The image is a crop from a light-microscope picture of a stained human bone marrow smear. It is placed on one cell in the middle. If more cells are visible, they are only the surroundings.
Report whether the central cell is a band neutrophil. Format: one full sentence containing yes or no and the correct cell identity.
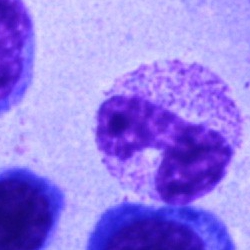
Yes, the middle of the crop is occupied by a band neutrophil.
